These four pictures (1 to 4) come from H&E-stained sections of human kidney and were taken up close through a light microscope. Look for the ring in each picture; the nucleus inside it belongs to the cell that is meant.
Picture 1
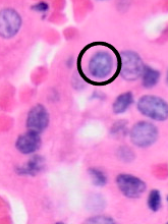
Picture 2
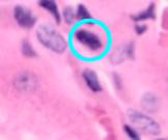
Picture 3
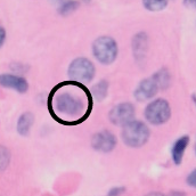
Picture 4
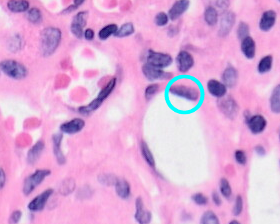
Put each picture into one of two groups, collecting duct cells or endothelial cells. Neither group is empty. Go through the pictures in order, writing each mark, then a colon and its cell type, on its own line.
1: collecting duct cell
2: collecting duct cell
3: collecting duct cell
4: endothelial cell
